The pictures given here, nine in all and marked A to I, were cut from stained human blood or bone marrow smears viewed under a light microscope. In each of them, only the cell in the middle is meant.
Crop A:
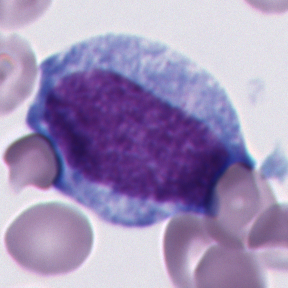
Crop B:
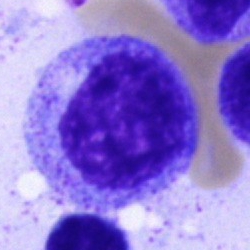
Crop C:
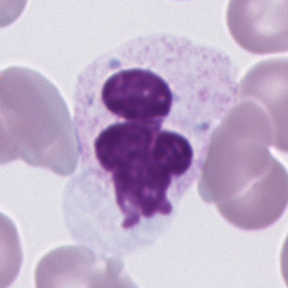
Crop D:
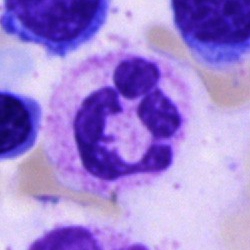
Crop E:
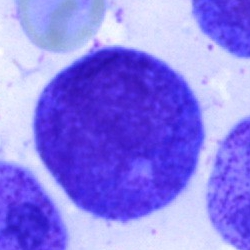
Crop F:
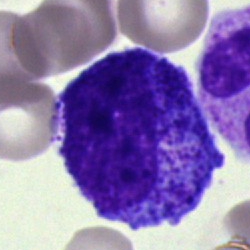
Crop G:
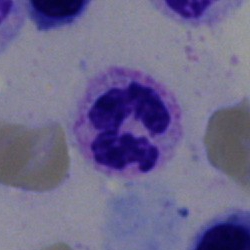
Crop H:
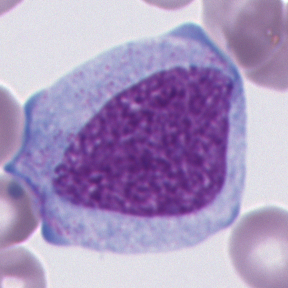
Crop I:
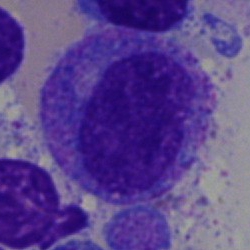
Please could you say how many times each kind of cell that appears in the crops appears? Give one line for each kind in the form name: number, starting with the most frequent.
promyelocyte: 6
segmented neutrophil: 3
